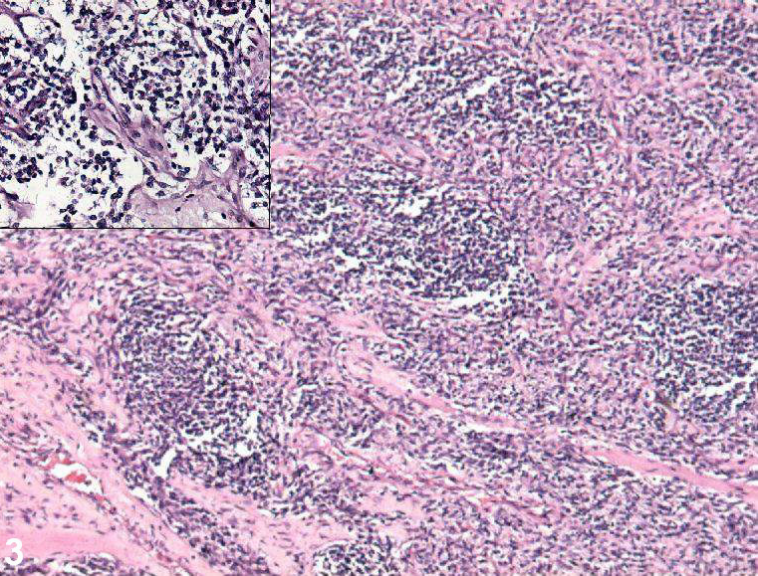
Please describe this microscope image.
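This tumor is made of nodules of tumor cells separated by hyalinised fibrous septae. The nodules are densely packed sheets of small to medium cells with dark purple nuclei and little visible cytoplasm. Between the nodules run broad bands of pale pink, glassy collagen, some of them carrying small blood vessels containing red cells. In the inset, at higher magnification, the tumor cells lie loosely apart from one another on a pale background. They have dark, hyperchromatic nuclei with only a thin rim of cytoplasm, and strands of pink fibrous tissue cross between them.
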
